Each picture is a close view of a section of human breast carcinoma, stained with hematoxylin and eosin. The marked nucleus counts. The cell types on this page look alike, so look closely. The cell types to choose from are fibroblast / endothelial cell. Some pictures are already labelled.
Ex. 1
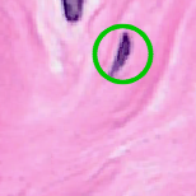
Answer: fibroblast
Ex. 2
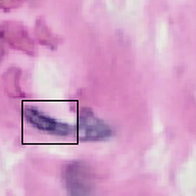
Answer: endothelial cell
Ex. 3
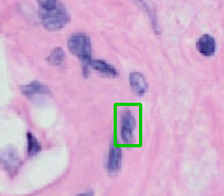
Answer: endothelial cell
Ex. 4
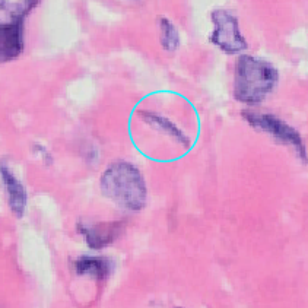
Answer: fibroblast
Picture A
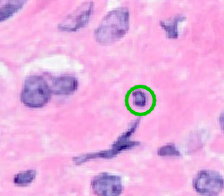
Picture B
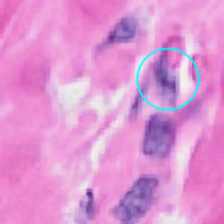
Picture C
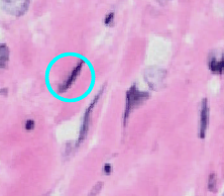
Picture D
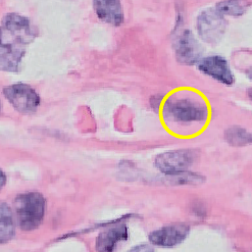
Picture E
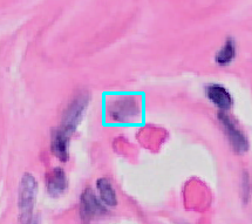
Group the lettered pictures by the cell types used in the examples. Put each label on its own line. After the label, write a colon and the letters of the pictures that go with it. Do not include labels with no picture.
fibroblast: C
endothelial cell: A, B, D, E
